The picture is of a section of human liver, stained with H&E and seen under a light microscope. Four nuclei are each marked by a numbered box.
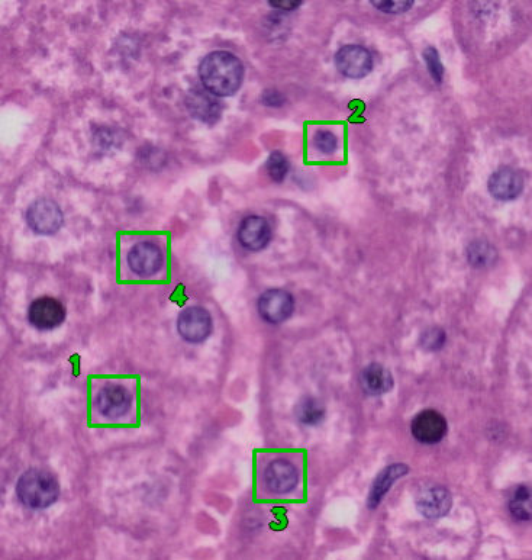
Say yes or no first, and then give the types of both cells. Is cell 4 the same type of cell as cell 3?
Yes, both are hepatocytes.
